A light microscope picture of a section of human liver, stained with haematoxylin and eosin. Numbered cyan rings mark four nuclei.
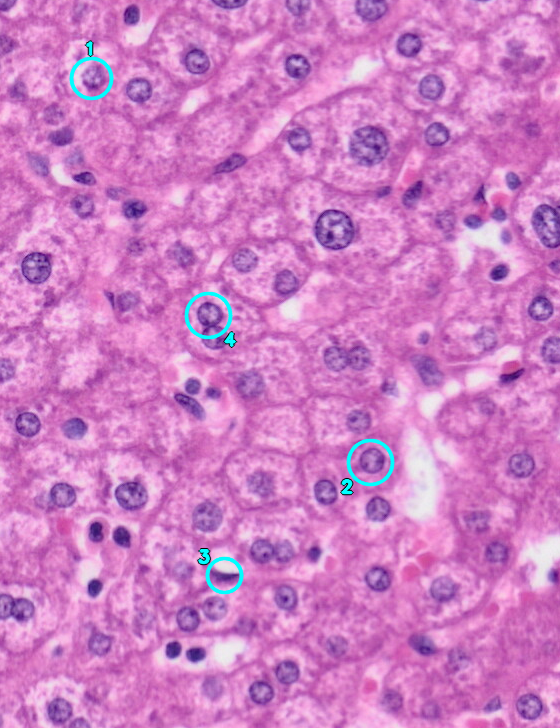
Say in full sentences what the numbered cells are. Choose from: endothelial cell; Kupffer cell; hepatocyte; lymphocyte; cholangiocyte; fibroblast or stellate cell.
Cells 1, 2 and 4 are hepatocytes. Cell 3 is an endothelial cell.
